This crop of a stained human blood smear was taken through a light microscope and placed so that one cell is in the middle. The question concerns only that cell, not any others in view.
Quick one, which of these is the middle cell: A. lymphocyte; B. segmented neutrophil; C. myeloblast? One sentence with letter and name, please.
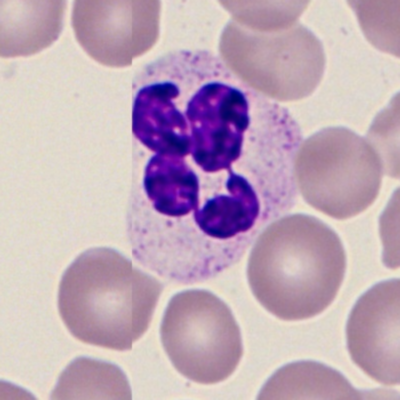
Option B is the right choice, the central cell being a segmented neutrophil.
